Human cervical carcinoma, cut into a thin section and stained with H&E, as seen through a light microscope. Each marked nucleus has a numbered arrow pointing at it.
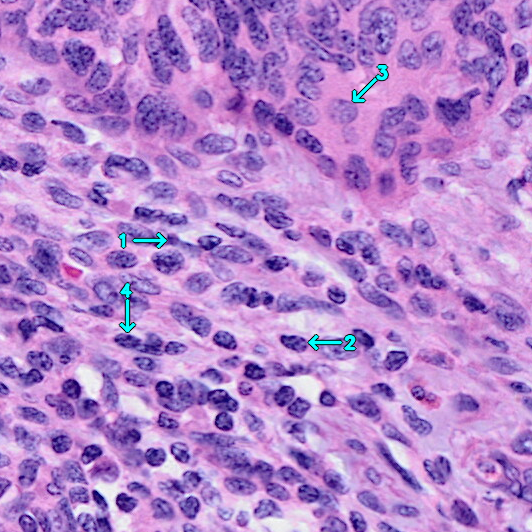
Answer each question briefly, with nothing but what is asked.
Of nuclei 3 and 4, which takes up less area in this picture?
4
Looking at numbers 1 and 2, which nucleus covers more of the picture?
2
